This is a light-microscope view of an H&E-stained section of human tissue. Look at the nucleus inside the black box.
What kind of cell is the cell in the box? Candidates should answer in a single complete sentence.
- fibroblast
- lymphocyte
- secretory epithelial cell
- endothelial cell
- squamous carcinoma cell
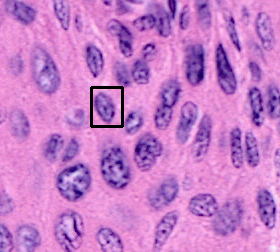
At the level of cell identity, the cell in the box is a squamous carcinoma cell.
